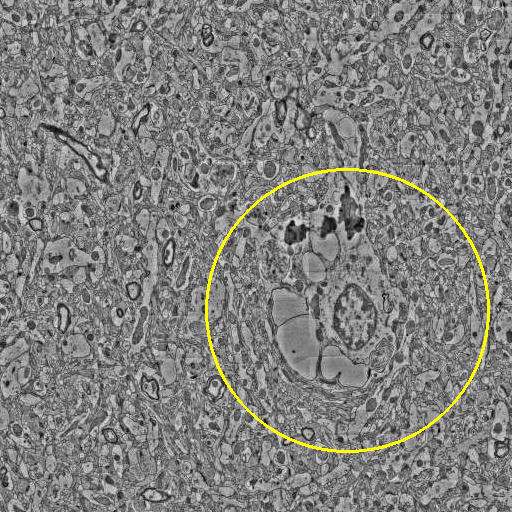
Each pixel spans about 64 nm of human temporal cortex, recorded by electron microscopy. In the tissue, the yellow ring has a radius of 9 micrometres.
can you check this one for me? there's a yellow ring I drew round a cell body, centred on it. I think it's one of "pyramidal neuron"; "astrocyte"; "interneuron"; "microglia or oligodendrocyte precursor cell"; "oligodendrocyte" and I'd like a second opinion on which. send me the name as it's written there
astrocyte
